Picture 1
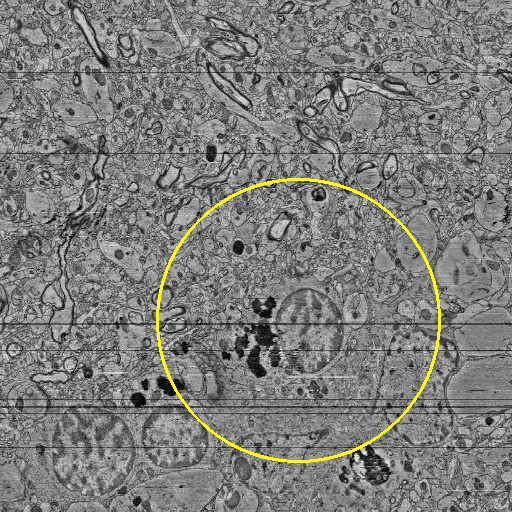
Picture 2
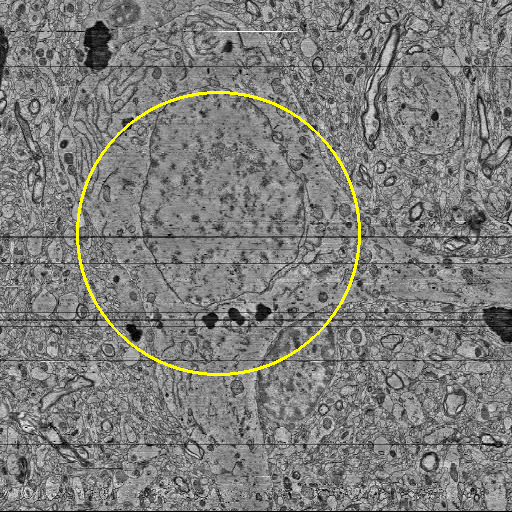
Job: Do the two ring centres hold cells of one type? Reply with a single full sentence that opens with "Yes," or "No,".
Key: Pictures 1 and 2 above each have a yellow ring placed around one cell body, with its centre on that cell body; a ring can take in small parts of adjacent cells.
No, the cells at the two ring centres are of two separate types.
